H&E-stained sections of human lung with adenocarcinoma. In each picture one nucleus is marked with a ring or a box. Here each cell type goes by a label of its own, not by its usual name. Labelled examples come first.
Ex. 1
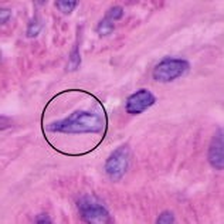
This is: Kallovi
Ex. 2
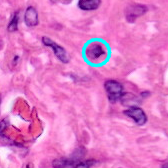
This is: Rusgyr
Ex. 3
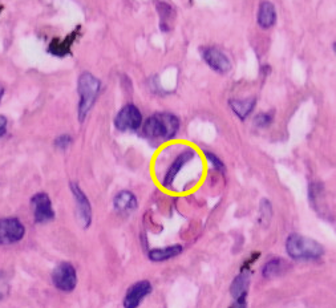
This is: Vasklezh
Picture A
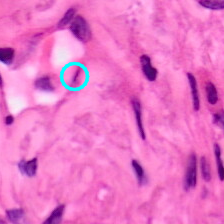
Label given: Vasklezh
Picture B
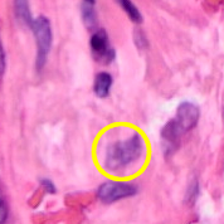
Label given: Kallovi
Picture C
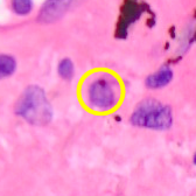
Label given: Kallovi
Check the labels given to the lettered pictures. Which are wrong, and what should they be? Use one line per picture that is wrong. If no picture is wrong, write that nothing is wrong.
Wrong: C (Kallovi); correct: Rusgyr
